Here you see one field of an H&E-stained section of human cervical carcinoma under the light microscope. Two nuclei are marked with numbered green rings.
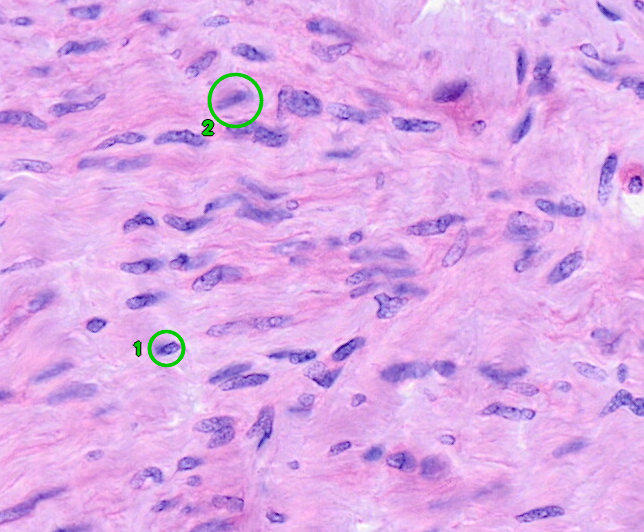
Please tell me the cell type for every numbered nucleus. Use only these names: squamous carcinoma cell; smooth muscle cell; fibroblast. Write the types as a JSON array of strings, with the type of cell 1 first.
["fibroblast", "smooth muscle cell"]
